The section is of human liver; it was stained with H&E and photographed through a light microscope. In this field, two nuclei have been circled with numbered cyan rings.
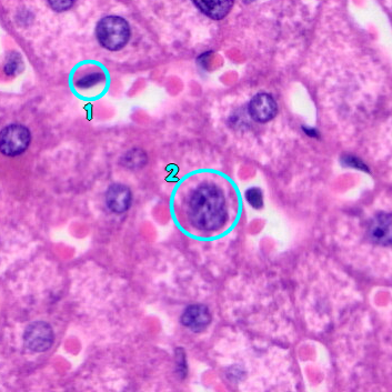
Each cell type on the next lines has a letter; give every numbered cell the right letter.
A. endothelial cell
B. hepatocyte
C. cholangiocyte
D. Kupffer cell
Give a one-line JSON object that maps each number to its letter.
{"1": "A", "2": "B"}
